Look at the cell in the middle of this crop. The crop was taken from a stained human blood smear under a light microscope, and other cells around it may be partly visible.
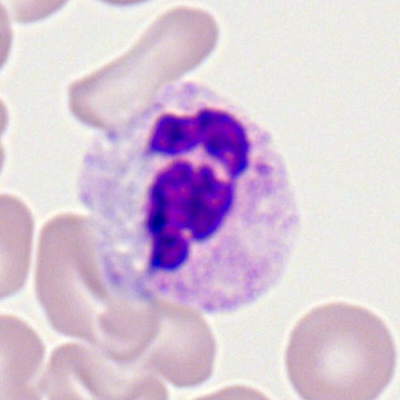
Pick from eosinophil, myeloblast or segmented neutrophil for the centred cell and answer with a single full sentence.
In short, the cell at the center is a segmented neutrophil.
